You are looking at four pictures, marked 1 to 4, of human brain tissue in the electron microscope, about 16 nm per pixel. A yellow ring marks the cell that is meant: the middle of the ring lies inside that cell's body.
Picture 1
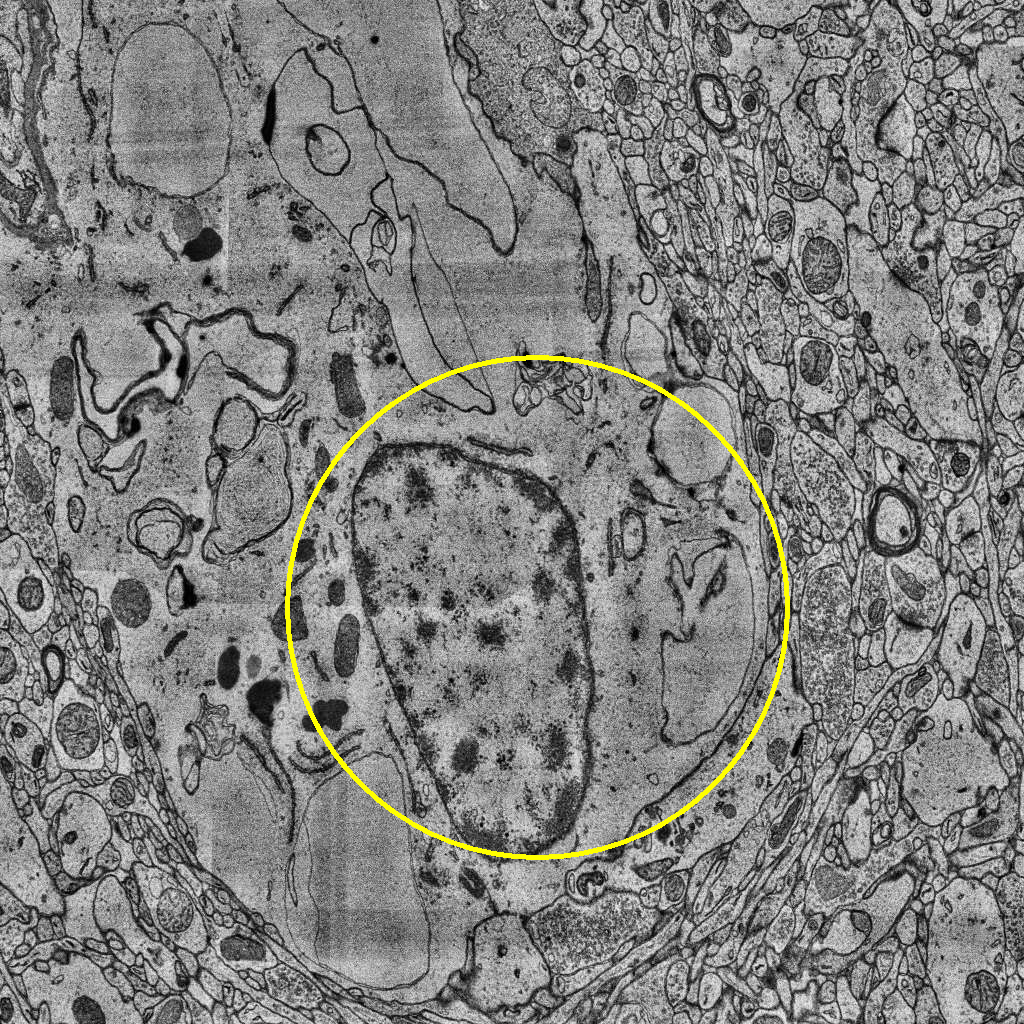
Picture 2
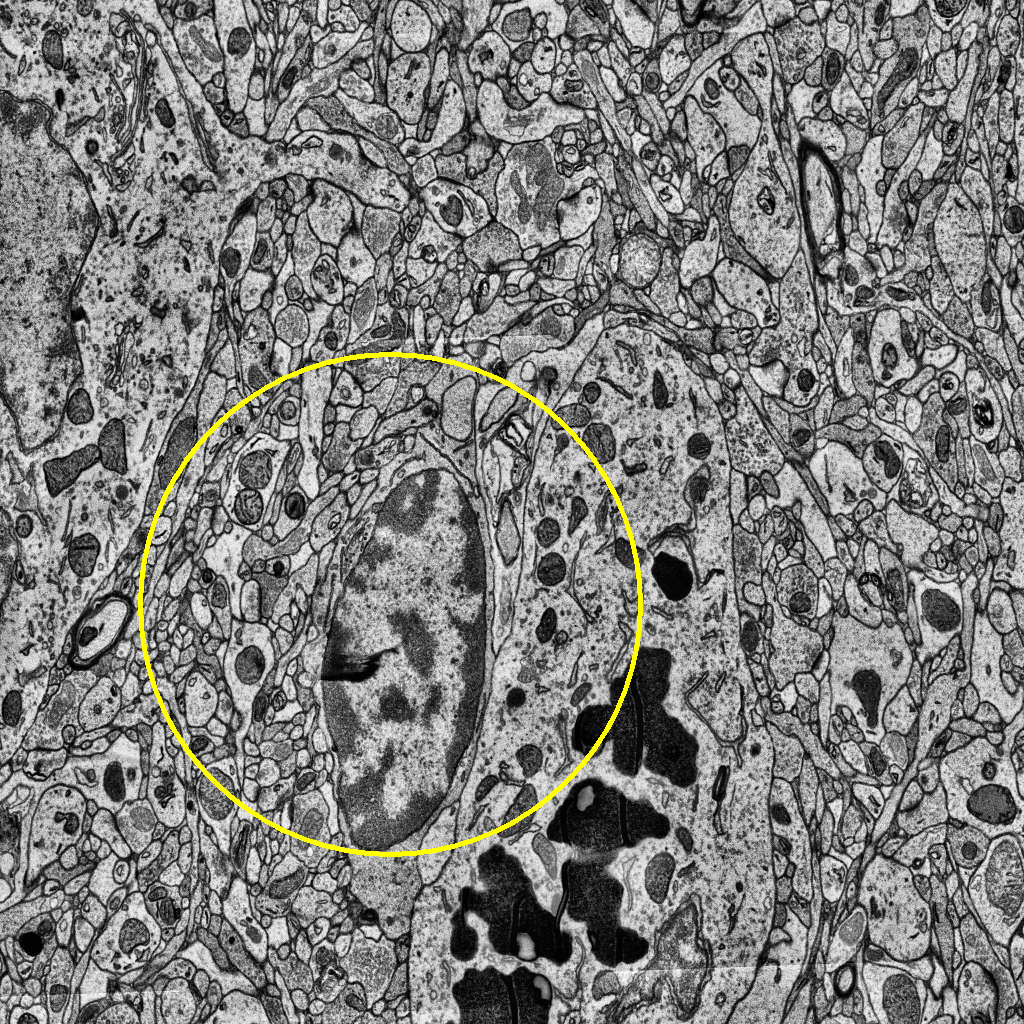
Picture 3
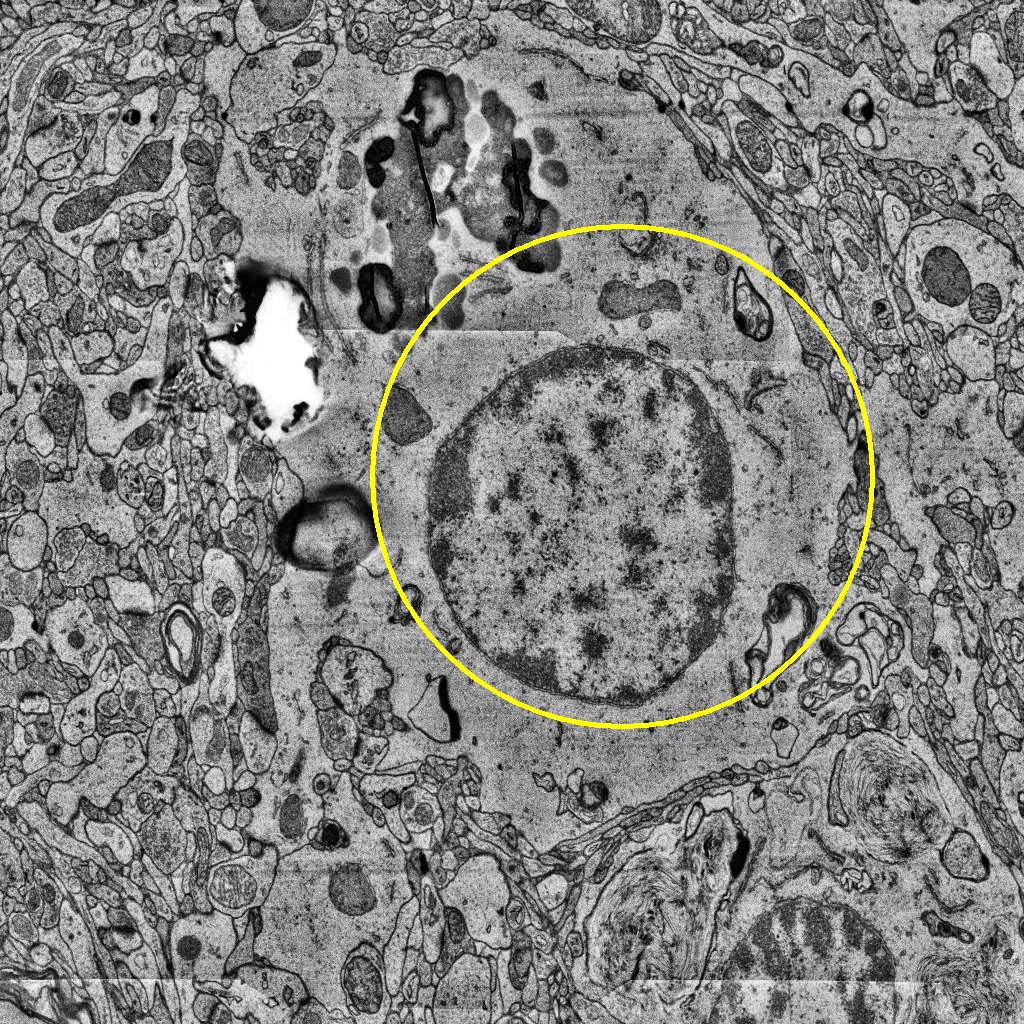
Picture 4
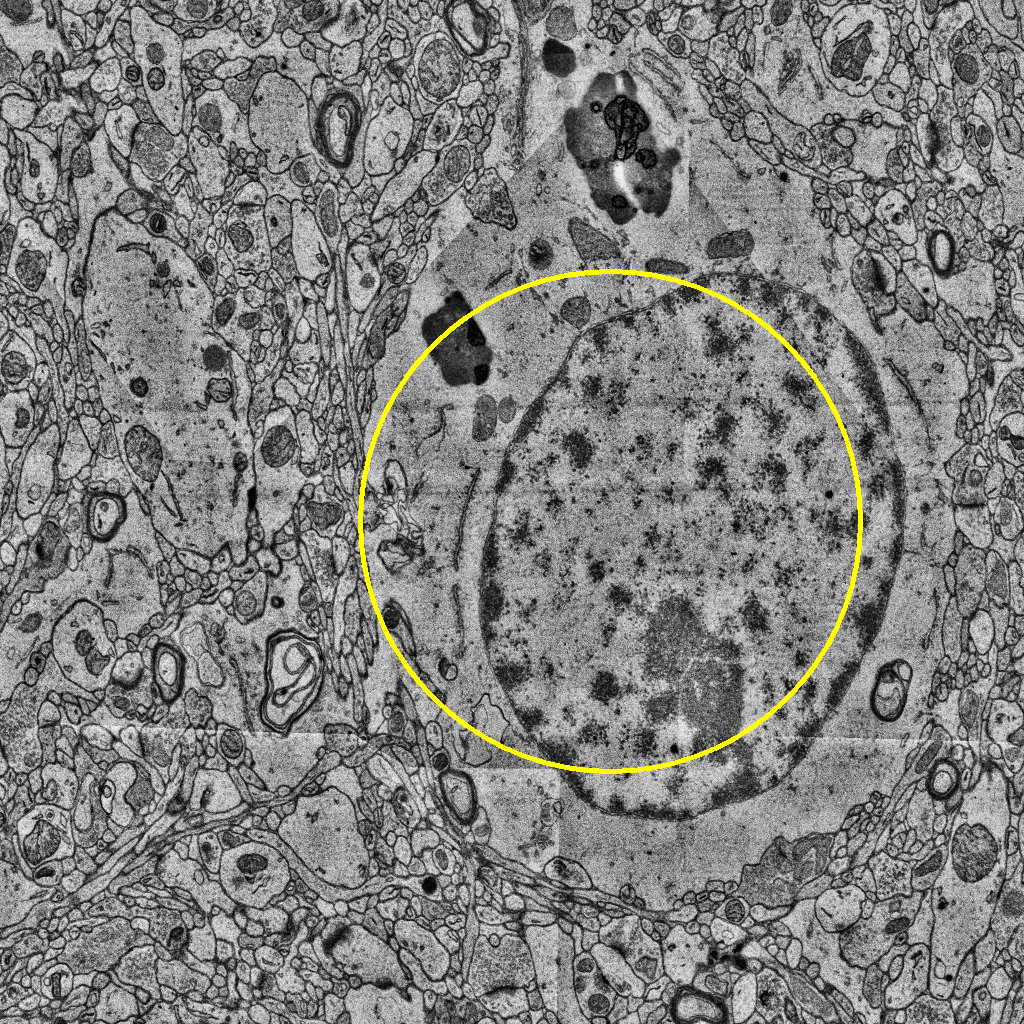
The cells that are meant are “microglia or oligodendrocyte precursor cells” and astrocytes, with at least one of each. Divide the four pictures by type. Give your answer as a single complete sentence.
Picture 2 shows a “microglia or oligodendrocyte precursor cell”, while pictures 1, 3 and 4 show astrocytes.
